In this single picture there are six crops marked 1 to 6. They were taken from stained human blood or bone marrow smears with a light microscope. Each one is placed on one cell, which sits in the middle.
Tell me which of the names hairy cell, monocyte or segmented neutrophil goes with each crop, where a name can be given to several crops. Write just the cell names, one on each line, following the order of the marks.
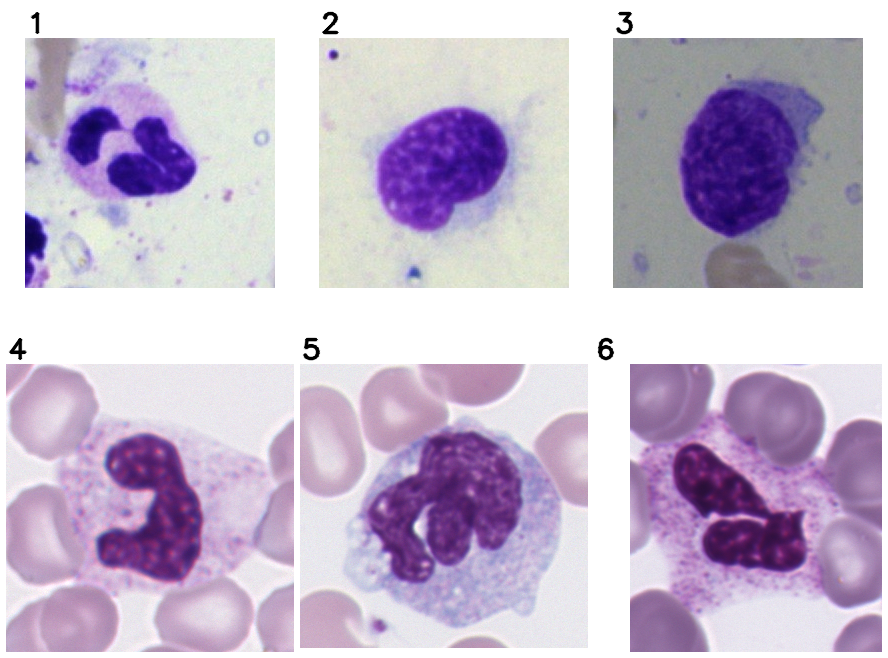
segmented neutrophil
hairy cell
hairy cell
segmented neutrophil
monocyte
segmented neutrophil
